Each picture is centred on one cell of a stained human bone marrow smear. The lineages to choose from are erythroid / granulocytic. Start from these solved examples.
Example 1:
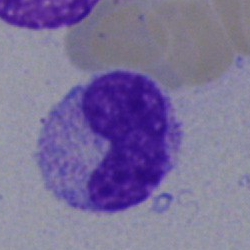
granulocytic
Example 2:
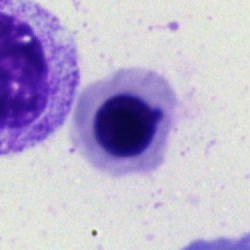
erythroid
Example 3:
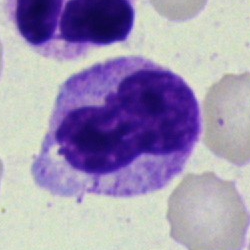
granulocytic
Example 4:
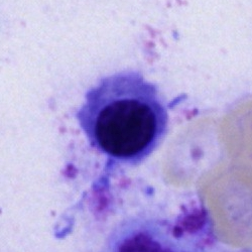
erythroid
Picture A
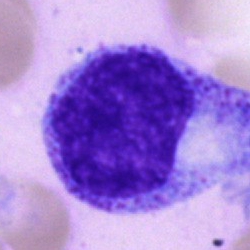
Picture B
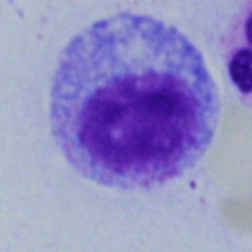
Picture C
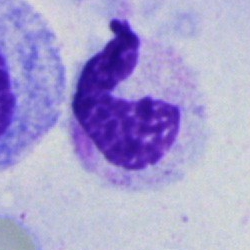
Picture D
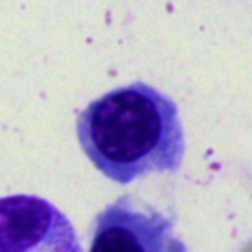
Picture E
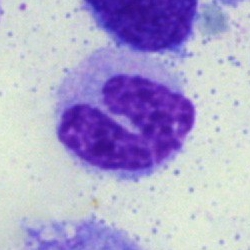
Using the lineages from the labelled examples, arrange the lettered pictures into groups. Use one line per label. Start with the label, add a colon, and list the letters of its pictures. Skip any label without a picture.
erythroid: D
granulocytic: A, B, C, E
